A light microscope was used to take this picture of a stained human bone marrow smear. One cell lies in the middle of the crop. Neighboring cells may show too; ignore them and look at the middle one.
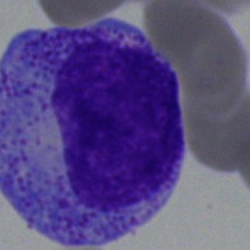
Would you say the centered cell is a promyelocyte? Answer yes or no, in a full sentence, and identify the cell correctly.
Yes, the central cell of this crop corresponds to a promyelocyte.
